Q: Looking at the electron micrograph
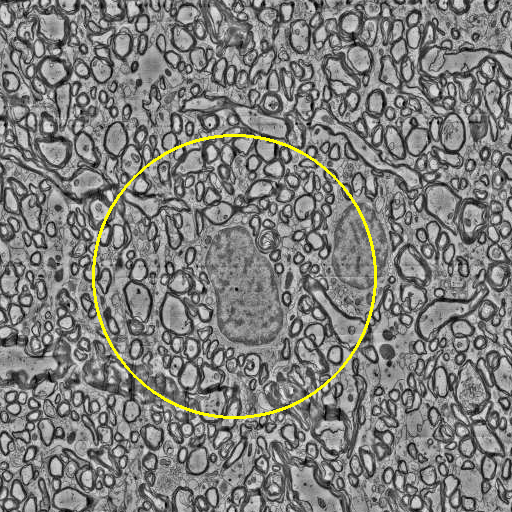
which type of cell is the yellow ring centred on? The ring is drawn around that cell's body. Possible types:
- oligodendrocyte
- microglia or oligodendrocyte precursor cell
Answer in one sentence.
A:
The yellow ring is centred on an oligodendrocyte.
